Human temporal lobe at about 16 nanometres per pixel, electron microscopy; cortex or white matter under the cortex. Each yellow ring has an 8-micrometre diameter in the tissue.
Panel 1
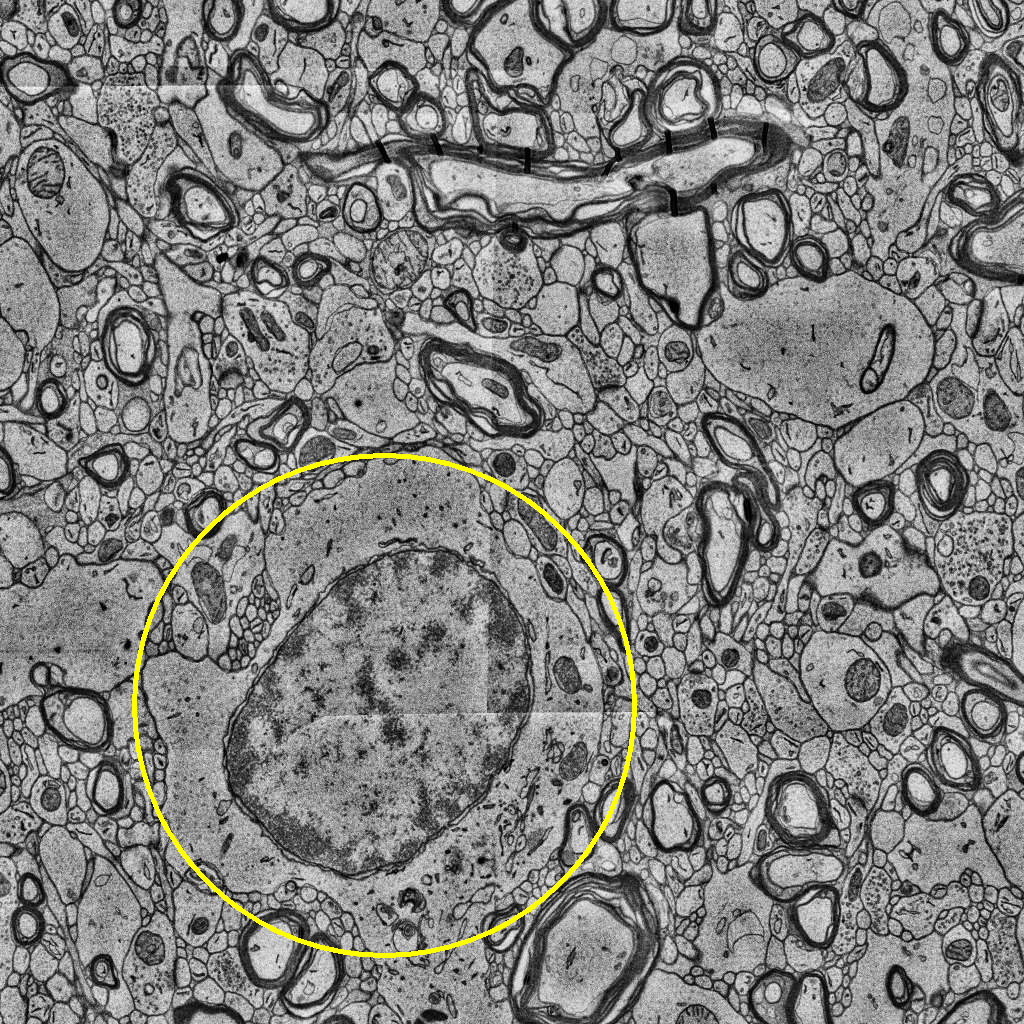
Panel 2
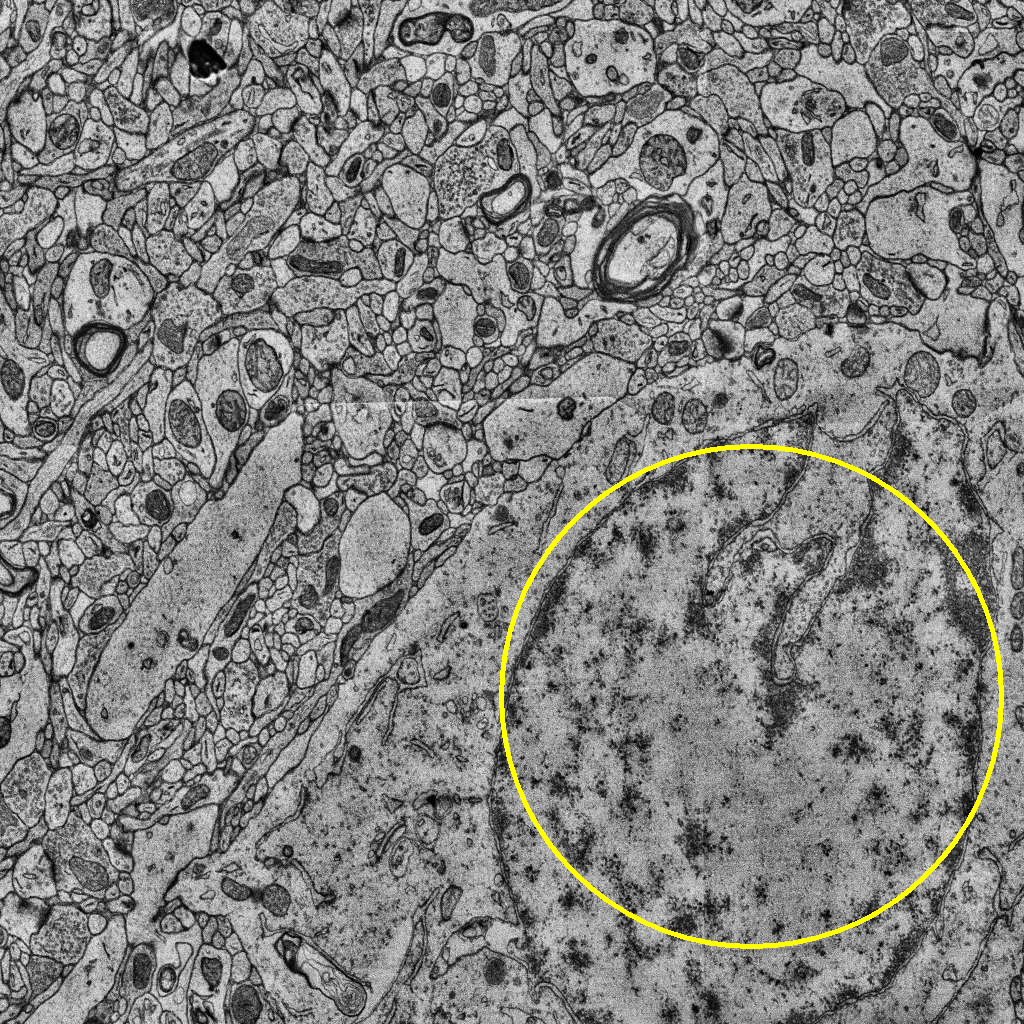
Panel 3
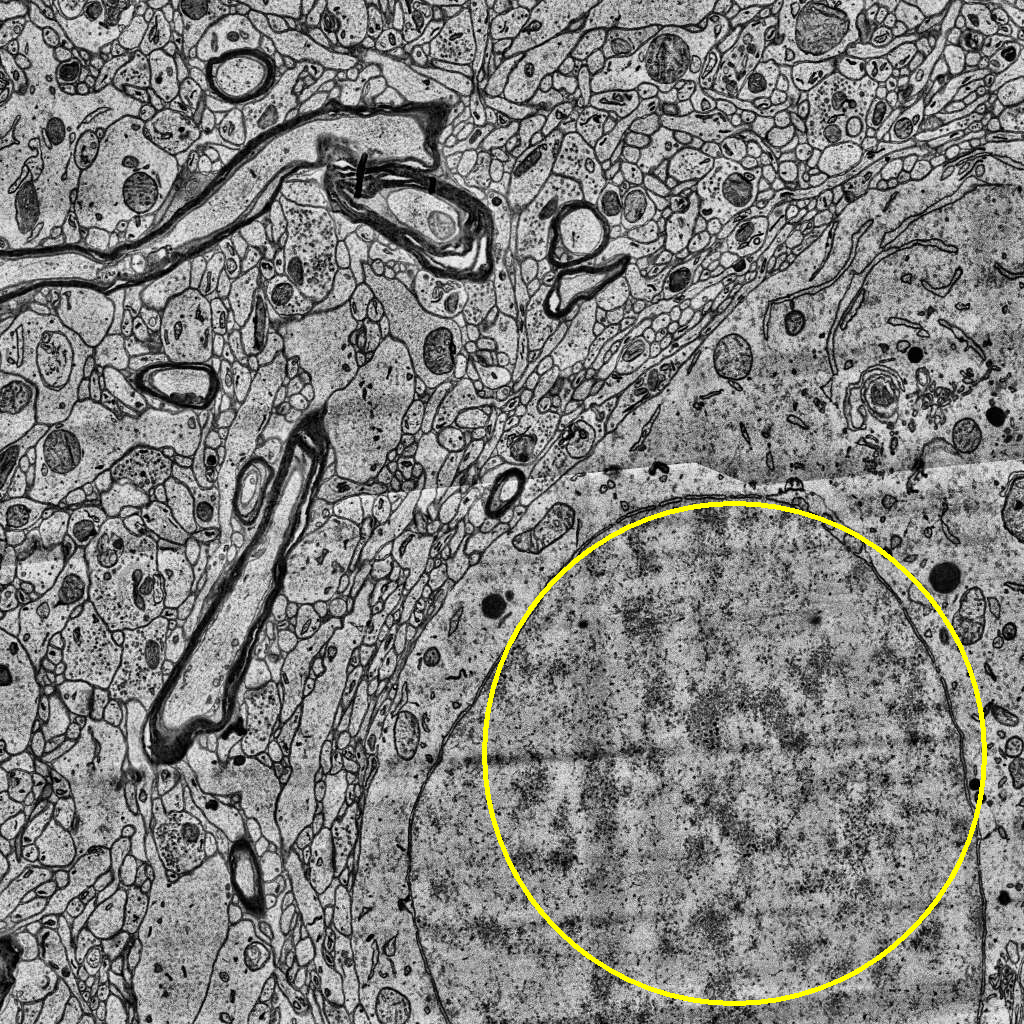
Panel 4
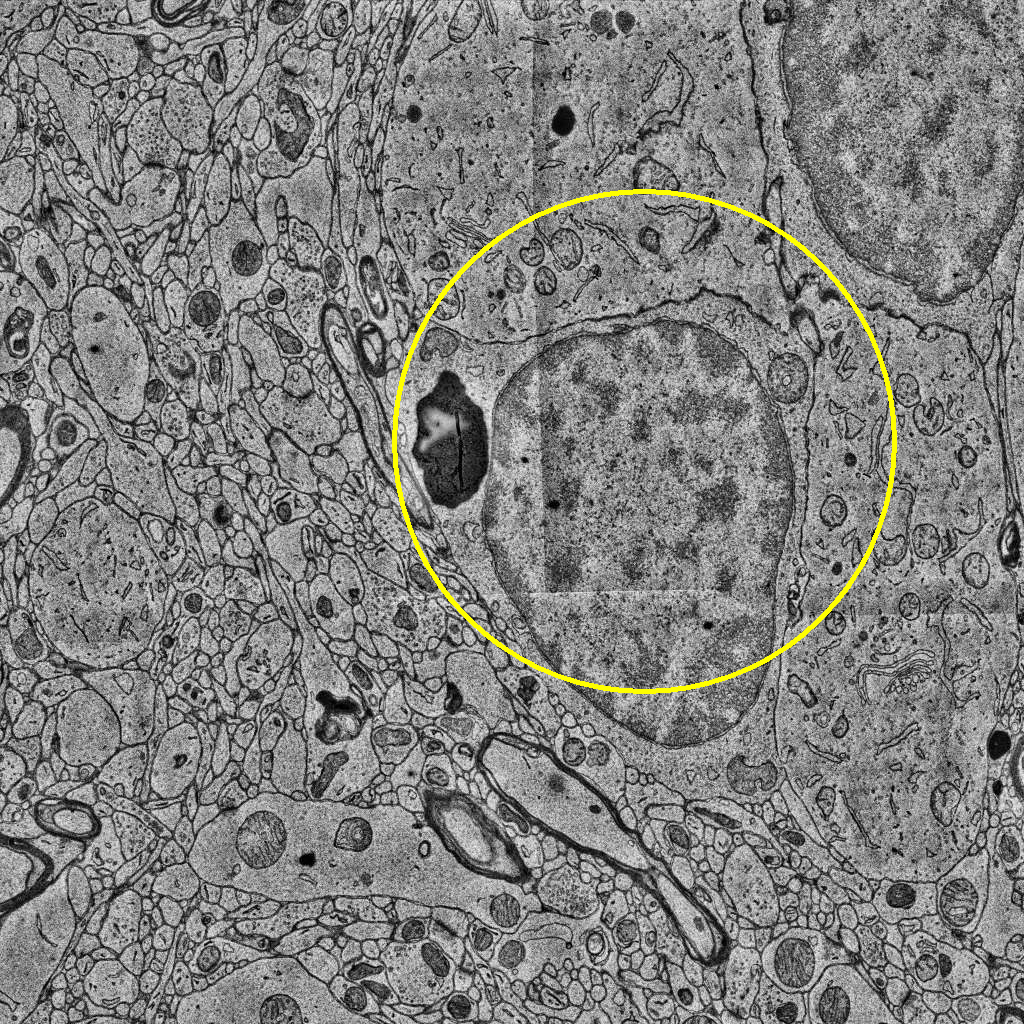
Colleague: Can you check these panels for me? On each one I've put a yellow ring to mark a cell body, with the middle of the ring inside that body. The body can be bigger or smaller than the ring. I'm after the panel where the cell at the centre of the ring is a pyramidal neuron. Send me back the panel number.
3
